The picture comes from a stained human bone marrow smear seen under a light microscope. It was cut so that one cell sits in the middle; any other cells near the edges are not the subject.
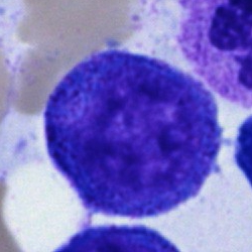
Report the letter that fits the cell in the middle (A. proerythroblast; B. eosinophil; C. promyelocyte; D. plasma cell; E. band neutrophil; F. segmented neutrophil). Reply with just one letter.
C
